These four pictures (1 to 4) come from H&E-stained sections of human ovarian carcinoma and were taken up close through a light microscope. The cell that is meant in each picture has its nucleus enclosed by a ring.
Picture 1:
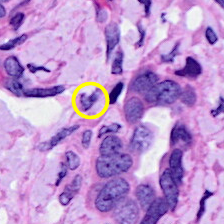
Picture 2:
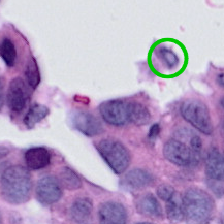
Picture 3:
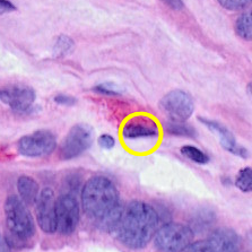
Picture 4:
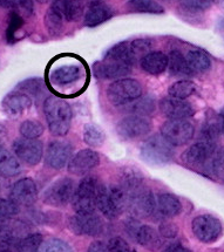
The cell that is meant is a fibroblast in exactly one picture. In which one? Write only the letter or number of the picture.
1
